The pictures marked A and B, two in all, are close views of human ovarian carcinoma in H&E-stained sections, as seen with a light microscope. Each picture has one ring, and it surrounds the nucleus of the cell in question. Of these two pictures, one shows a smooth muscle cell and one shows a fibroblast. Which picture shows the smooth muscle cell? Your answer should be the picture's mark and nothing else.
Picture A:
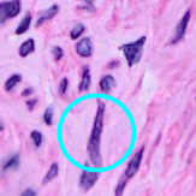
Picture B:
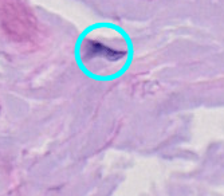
A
